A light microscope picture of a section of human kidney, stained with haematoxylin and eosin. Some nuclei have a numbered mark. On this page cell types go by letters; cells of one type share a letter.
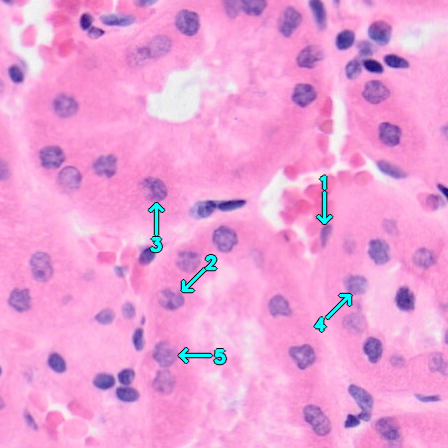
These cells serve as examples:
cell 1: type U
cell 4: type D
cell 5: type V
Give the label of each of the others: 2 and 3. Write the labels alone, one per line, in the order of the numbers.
type V
type V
